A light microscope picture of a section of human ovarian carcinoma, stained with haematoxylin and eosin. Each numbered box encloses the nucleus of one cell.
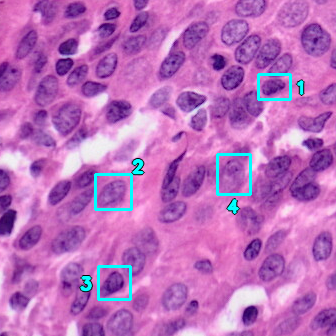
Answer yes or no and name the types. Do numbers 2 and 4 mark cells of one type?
Yes, note that cells 2 and 4 are both carcinoma cells.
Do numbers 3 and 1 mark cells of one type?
No, sorry to say, cell 3 is a macrophage or monocyte and cell 1 is a carcinoma cell.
